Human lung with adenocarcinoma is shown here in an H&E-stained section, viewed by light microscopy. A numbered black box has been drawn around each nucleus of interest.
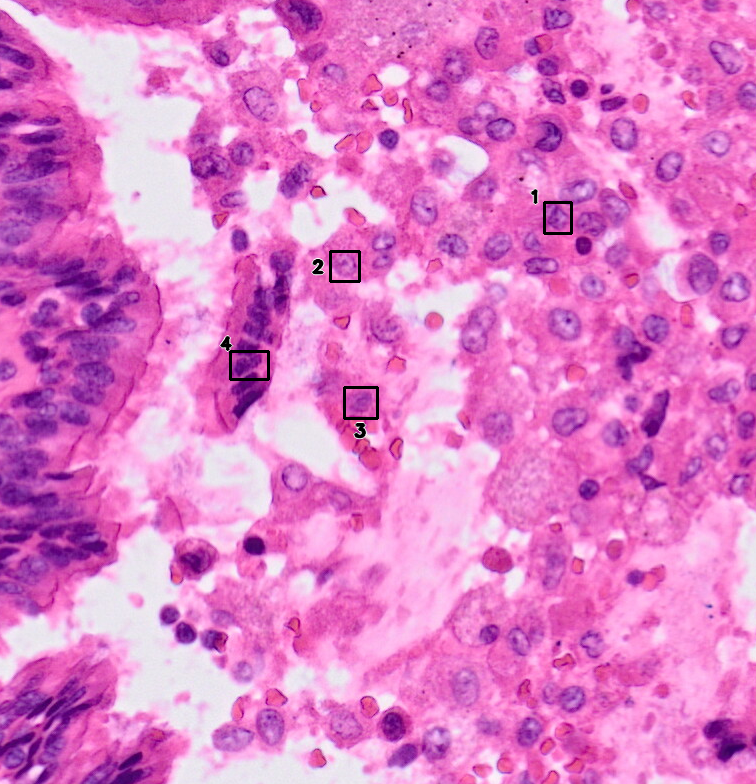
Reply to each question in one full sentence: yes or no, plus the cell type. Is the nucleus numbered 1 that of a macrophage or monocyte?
Yes, with respect to number 1, the cell is a macrophage or monocyte.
